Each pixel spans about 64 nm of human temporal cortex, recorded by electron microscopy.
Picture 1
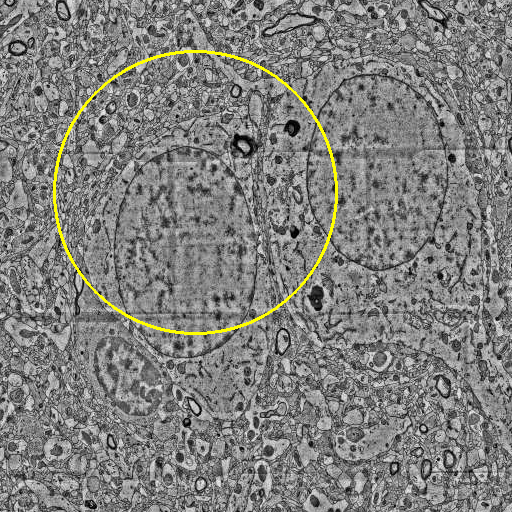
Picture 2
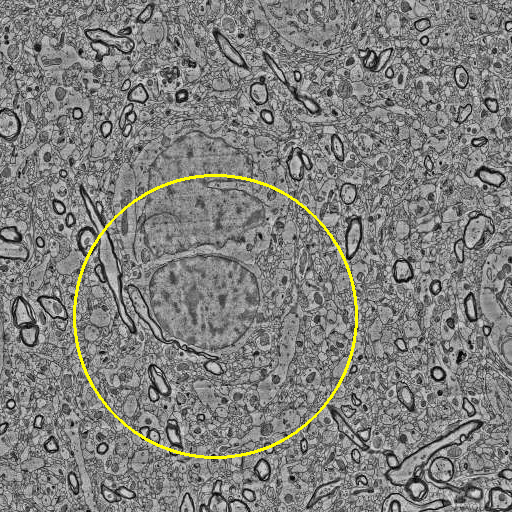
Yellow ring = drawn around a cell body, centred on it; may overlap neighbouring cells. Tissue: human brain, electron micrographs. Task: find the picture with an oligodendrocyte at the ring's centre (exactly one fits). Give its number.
2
